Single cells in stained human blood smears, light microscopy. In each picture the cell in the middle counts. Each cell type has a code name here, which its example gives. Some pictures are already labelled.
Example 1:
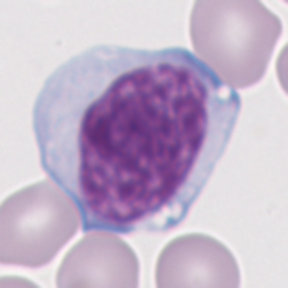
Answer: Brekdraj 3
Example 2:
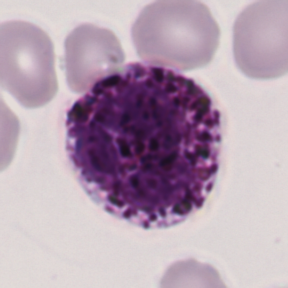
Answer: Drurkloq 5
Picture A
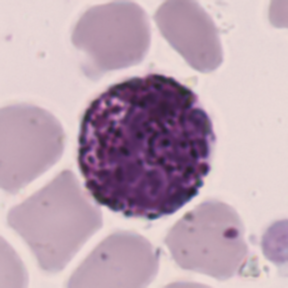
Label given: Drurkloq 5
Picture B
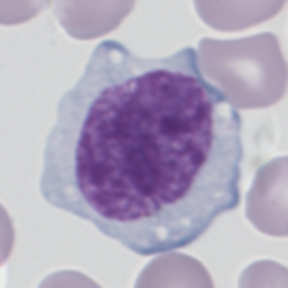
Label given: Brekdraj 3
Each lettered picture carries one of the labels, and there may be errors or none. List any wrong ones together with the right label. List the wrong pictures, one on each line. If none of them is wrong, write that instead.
None of the labels needs changing.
